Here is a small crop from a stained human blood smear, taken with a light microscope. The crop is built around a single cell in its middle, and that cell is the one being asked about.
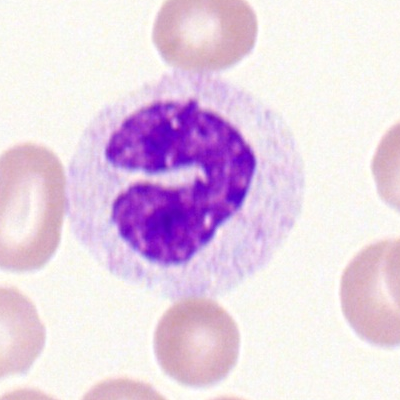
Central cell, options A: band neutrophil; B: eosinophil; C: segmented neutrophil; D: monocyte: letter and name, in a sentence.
That the central cell is a band neutrophil makes option A correct.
